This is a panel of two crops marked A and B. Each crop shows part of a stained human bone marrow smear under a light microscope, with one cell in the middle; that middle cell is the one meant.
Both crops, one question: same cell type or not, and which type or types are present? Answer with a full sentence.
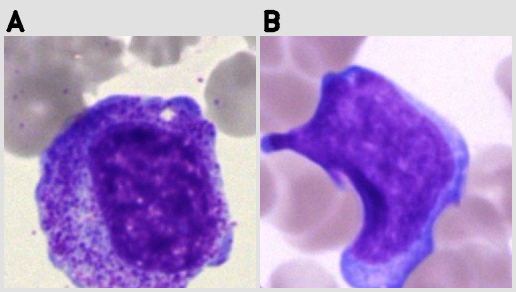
No, crop A displays a promyelocyte, and crop B displays a blast.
